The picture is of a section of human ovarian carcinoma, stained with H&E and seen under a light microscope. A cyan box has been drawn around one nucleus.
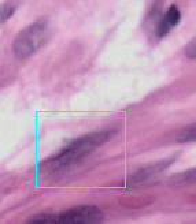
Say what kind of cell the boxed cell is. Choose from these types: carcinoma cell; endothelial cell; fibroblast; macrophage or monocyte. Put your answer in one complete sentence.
On this particular slide, the boxed cell is a fibroblast.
